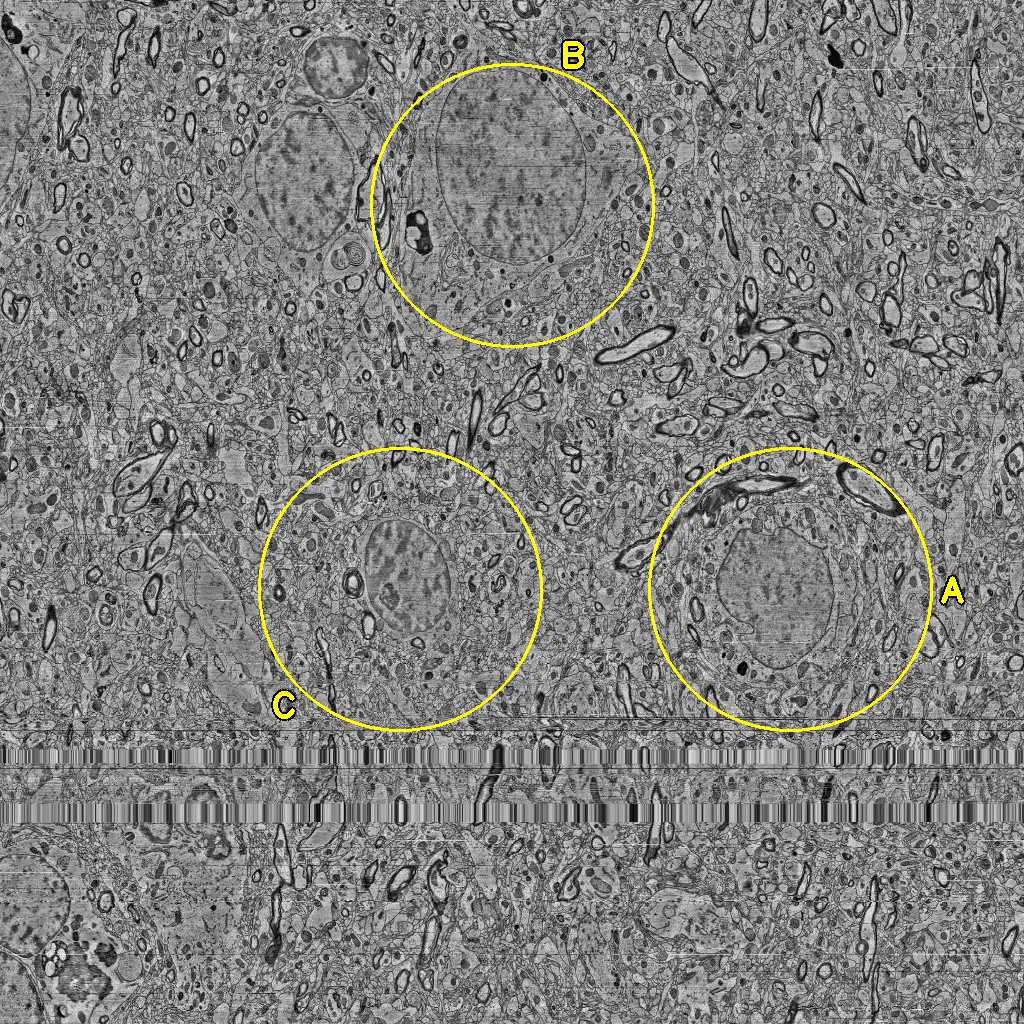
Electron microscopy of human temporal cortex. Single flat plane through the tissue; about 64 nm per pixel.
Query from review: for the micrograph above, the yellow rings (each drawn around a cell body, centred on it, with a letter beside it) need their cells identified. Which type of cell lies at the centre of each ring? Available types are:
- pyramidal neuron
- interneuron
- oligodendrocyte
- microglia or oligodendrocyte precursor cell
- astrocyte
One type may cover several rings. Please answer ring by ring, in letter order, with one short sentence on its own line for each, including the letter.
Ring A is drawn around a pyramidal neuron.
Ring B is drawn around a pyramidal neuron.
Ring C is drawn around an oligodendrocyte.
